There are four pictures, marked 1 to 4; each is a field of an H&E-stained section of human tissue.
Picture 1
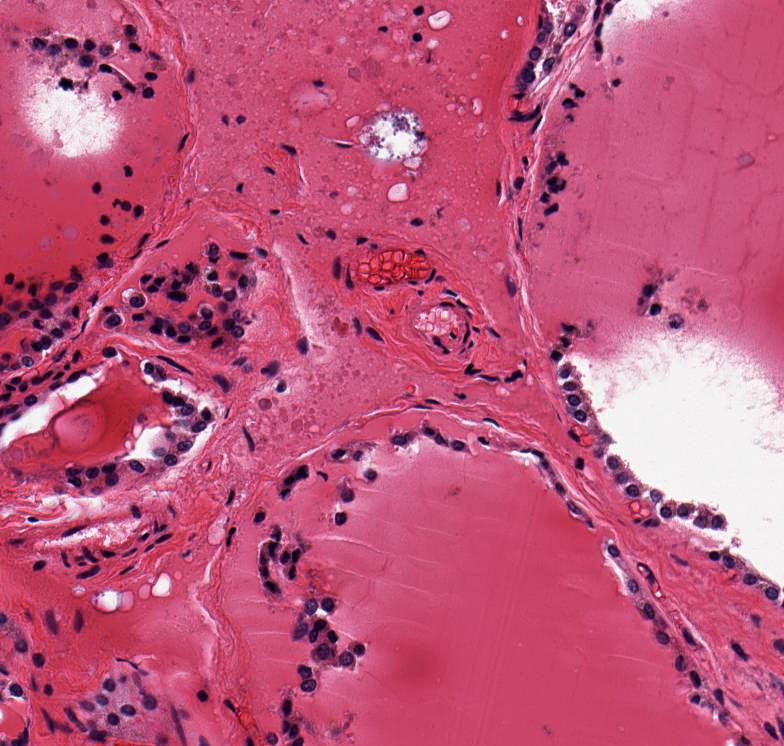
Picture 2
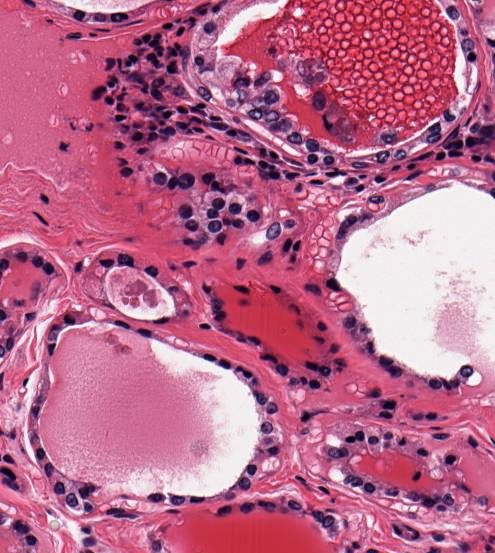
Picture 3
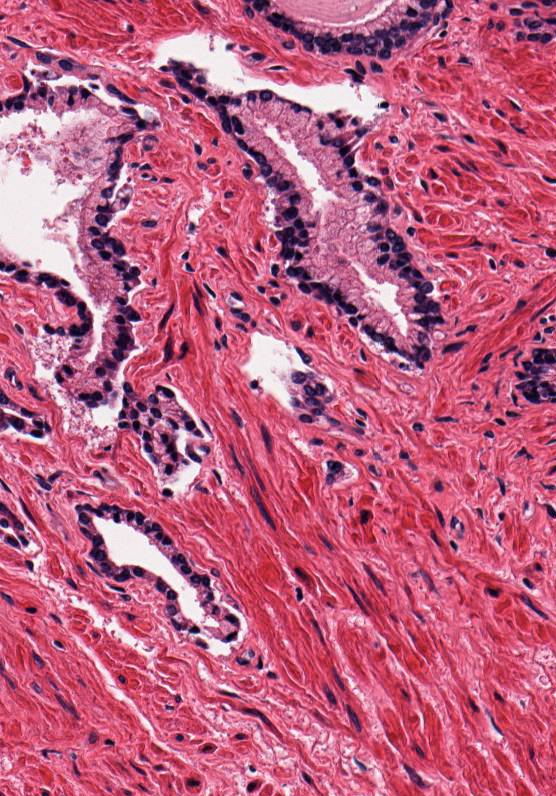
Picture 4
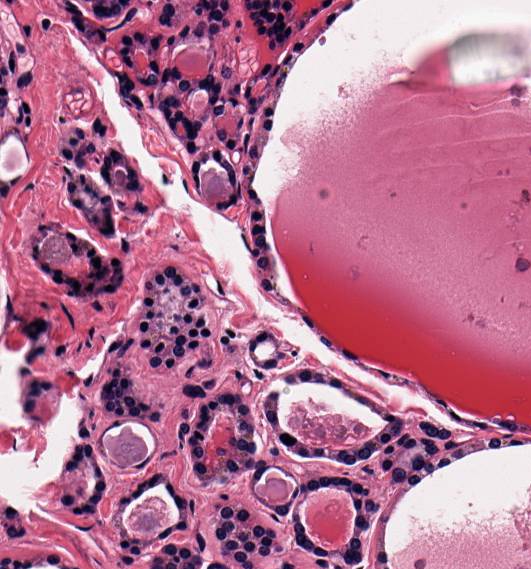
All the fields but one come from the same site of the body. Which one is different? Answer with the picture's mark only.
3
